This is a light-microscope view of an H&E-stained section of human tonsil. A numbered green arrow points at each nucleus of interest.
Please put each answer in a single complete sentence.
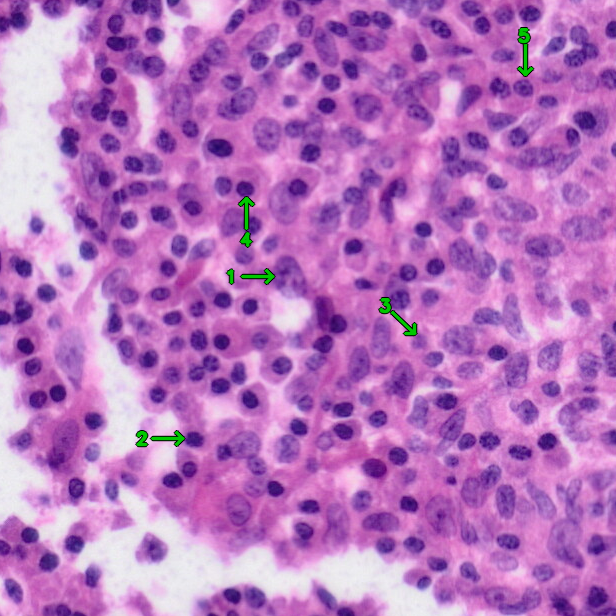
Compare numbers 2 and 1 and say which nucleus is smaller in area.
Nucleus 2 is the smaller one; nucleus 1 covers about 4 times its area.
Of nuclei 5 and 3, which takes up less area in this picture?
Number 3 is smaller, since number 5 takes up about 2 times as much area.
